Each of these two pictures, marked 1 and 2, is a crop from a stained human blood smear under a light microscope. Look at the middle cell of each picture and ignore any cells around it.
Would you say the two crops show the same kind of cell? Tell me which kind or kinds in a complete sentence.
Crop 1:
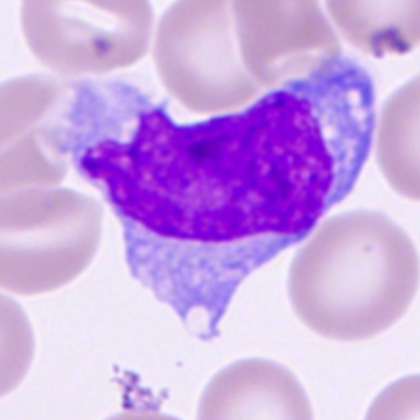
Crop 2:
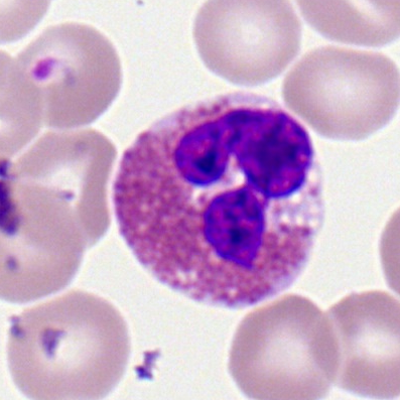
No, in crop 1 there is a monocyte, and in crop 2 there is an eosinophil.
